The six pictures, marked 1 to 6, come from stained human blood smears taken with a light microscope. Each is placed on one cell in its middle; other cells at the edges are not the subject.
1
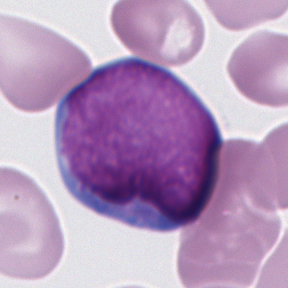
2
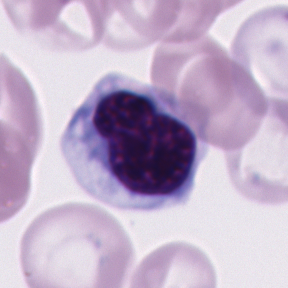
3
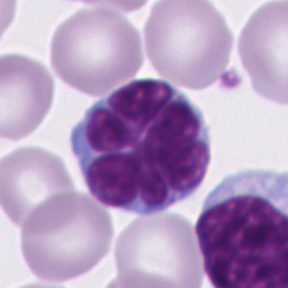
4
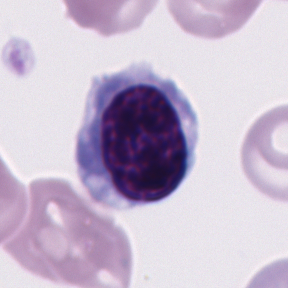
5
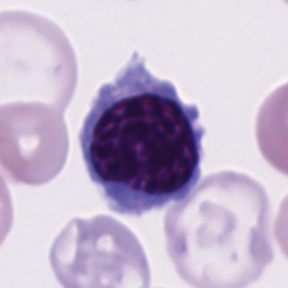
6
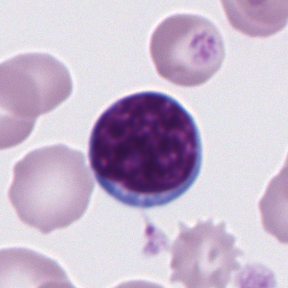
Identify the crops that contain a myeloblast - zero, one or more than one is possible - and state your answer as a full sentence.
In this set, a myeloblast turns up only in crop 1.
